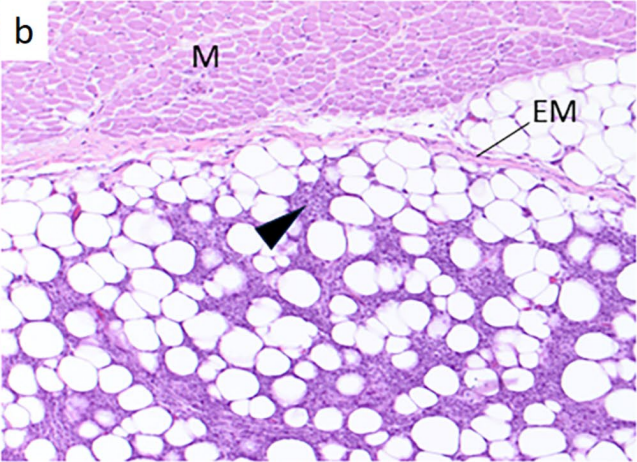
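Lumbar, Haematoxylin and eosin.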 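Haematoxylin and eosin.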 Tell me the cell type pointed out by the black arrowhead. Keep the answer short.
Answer: Neoplastic cells.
